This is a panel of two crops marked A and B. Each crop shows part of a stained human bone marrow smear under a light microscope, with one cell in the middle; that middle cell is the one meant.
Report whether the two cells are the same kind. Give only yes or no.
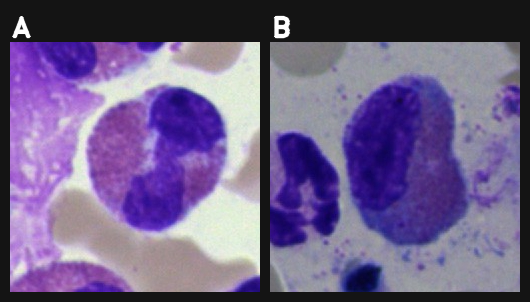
yes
